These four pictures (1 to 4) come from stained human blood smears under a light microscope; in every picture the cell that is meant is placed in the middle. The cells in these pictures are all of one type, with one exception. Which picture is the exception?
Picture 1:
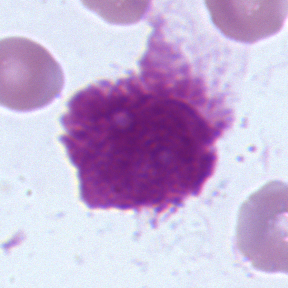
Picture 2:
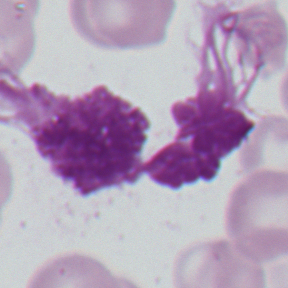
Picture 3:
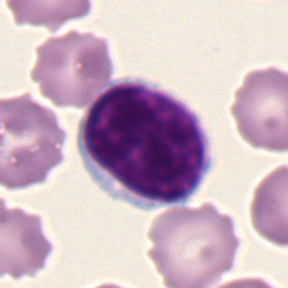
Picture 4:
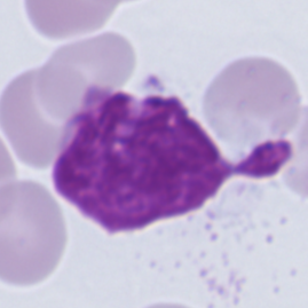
3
